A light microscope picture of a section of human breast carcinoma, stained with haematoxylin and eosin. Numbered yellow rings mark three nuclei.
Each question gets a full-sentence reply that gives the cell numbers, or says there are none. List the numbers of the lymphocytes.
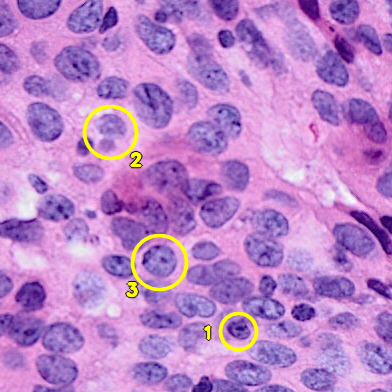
Among the numbered cells, the one that is a lymphocyte is cell 1 alone.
